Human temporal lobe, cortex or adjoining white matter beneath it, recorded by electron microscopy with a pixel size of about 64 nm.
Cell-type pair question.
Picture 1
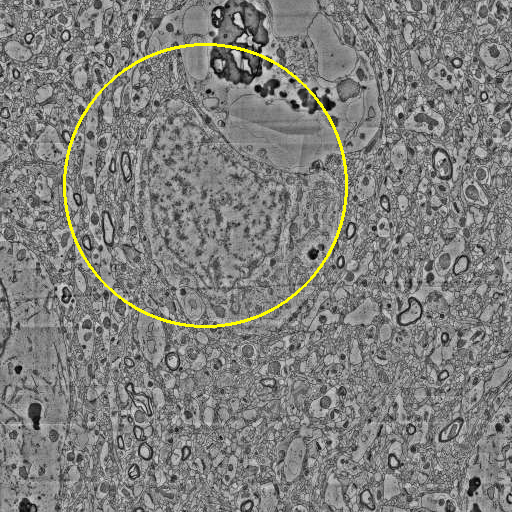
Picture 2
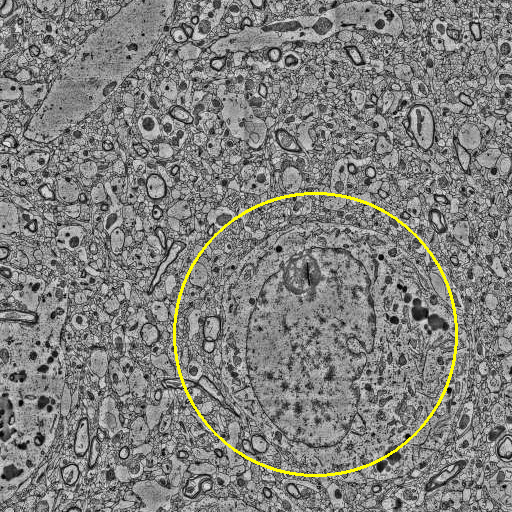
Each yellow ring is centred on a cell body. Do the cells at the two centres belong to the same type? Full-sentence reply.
Yes, the two cells belong to the same type.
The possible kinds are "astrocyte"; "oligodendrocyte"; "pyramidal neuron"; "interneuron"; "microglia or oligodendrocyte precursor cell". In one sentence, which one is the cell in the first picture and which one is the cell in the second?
In each picture the ringed cell is an interneuron.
